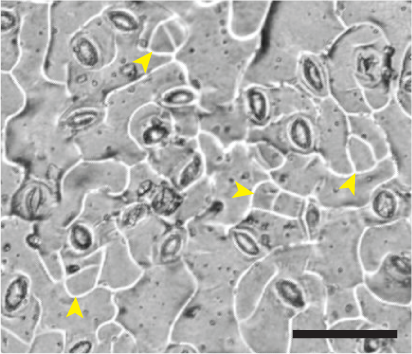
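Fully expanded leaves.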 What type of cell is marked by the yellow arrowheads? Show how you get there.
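The arrowheads point to small cells without a pore among densely packed stomata. On this evidence: stomatal precursors.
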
